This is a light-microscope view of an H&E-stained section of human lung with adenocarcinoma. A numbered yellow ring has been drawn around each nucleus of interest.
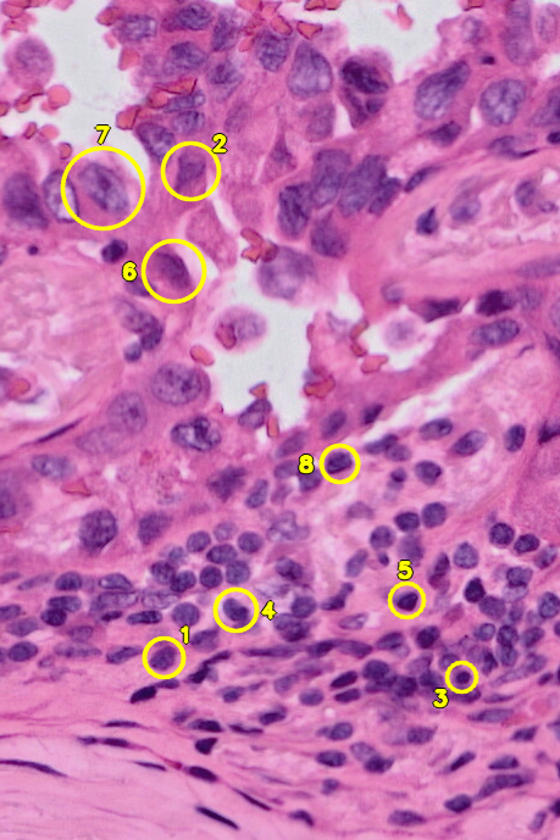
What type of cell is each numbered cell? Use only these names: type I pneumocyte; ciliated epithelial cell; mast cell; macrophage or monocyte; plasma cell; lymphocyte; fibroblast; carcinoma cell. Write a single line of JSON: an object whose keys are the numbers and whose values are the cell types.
{"1": "mast cell", "2": "carcinoma cell", "3": "lymphocyte", "4": "lymphocyte", "5": "lymphocyte", "6": "carcinoma cell", "7": "carcinoma cell", "8": "lymphocyte"}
